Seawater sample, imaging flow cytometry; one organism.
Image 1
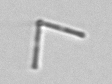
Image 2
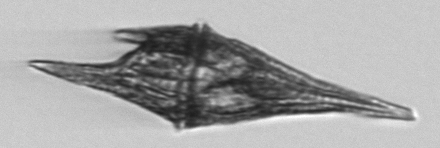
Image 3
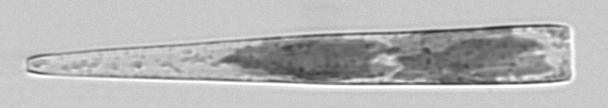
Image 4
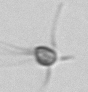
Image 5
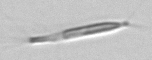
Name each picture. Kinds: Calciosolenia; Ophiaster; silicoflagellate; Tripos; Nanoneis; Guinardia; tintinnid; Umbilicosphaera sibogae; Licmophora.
(1) Nanoneis
(2) Tripos
(3) Licmophora
(4) Ophiaster
(5) Calciosolenia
